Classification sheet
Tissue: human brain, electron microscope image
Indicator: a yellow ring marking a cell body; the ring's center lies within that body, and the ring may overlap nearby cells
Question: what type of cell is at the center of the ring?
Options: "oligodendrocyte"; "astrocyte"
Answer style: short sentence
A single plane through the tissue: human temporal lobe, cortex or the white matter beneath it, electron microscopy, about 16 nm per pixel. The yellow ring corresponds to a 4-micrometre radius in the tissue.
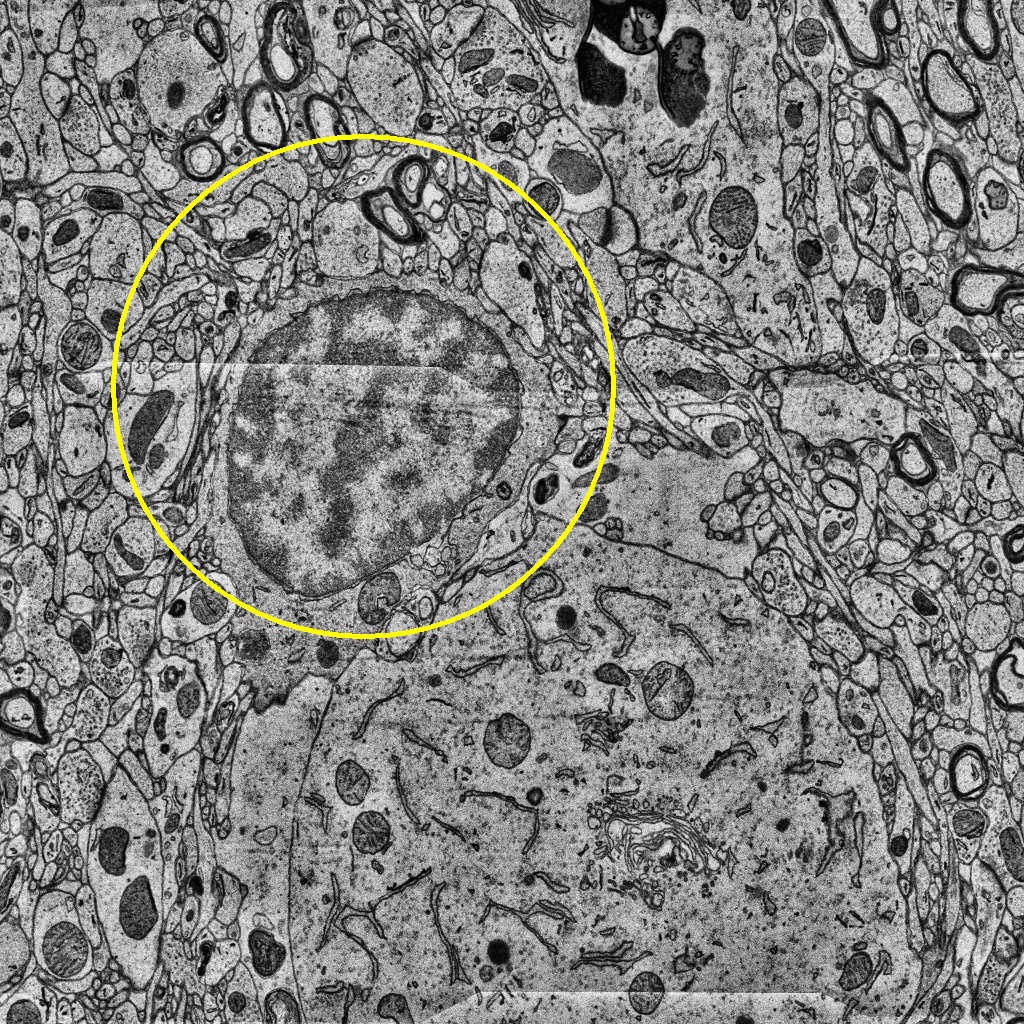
At the ring's center is an oligodendrocyte.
